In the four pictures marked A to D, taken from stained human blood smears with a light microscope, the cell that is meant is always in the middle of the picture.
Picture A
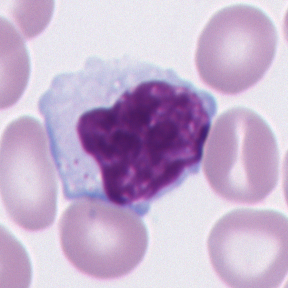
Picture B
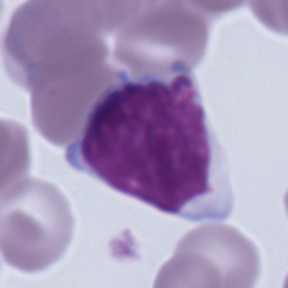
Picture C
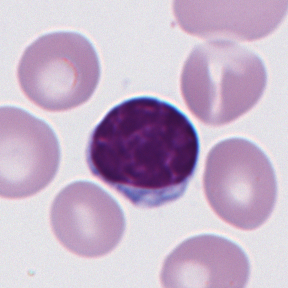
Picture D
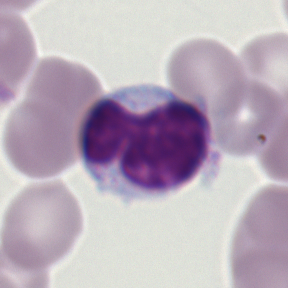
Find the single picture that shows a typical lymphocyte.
C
